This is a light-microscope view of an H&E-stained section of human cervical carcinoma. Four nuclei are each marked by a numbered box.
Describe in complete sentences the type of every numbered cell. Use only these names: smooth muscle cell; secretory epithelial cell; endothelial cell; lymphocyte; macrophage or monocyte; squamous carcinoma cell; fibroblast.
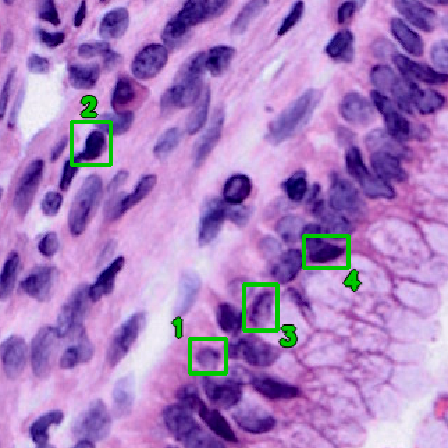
Cell 1 is a secretory epithelial cell, cell 2 is a lymphocyte, cell 3 is a secretory epithelial cell and cell 4 is a secretory epithelial cell.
